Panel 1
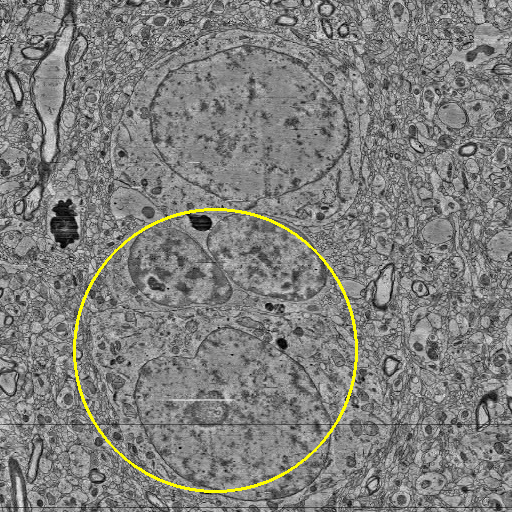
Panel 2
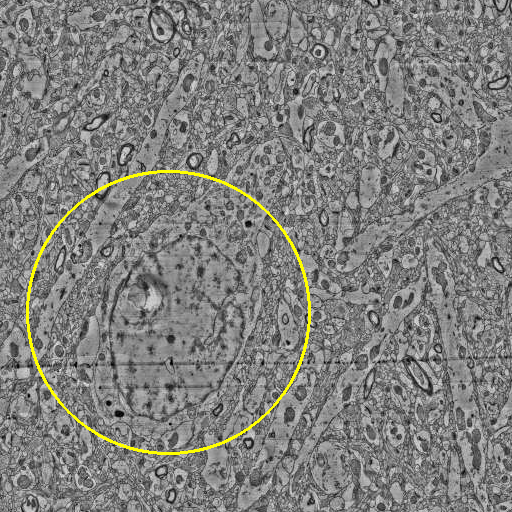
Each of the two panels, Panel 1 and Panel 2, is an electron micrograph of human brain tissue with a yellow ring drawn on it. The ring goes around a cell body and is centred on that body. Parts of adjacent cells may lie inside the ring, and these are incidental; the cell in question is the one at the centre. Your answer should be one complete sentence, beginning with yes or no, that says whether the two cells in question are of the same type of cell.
Yes, the two cells are of the same type.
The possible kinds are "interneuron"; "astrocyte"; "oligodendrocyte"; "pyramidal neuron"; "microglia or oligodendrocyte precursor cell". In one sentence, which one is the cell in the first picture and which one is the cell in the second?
Each one of the two ringed cells is an interneuron.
